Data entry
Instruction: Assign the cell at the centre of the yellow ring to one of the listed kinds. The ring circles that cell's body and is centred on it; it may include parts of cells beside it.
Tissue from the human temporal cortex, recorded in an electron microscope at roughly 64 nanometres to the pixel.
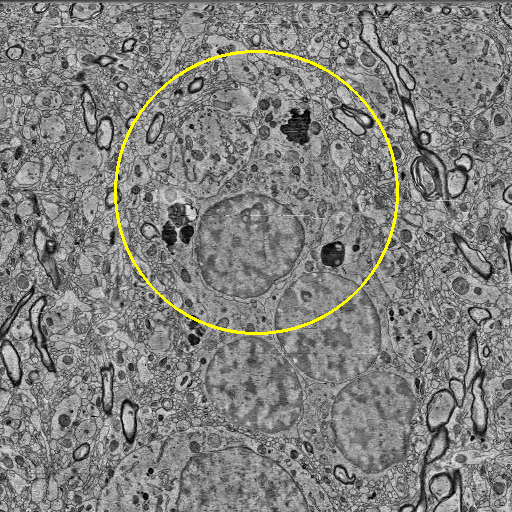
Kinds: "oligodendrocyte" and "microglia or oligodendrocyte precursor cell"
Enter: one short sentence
The centre of the ring falls on an oligodendrocyte.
